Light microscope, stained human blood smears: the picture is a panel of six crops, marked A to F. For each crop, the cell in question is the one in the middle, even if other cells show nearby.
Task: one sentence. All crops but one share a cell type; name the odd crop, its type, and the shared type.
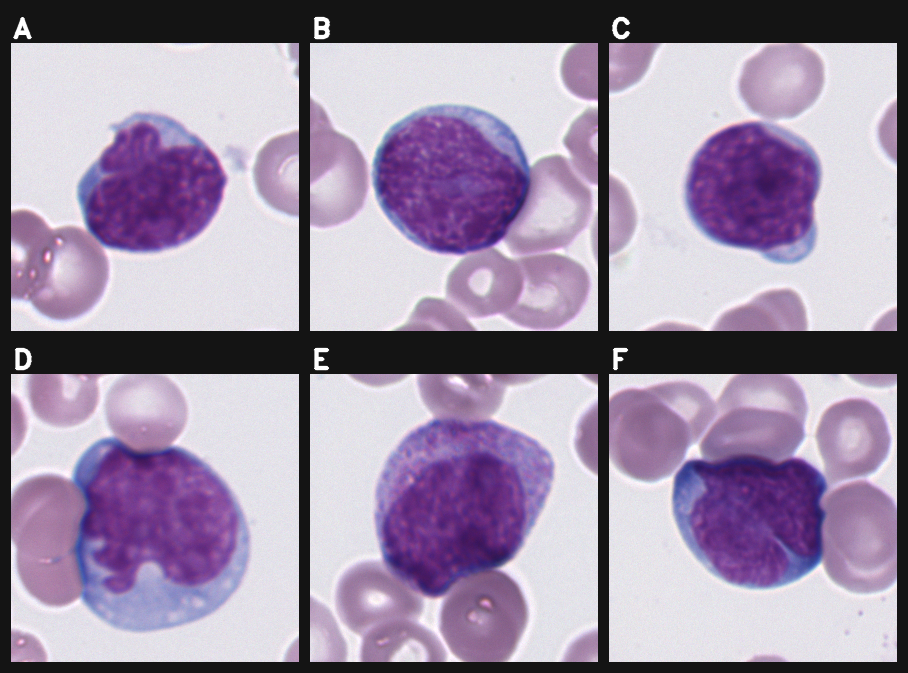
Unlike the other crops, which all show myeloblasts, crop E is an atypical promyelocyte.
